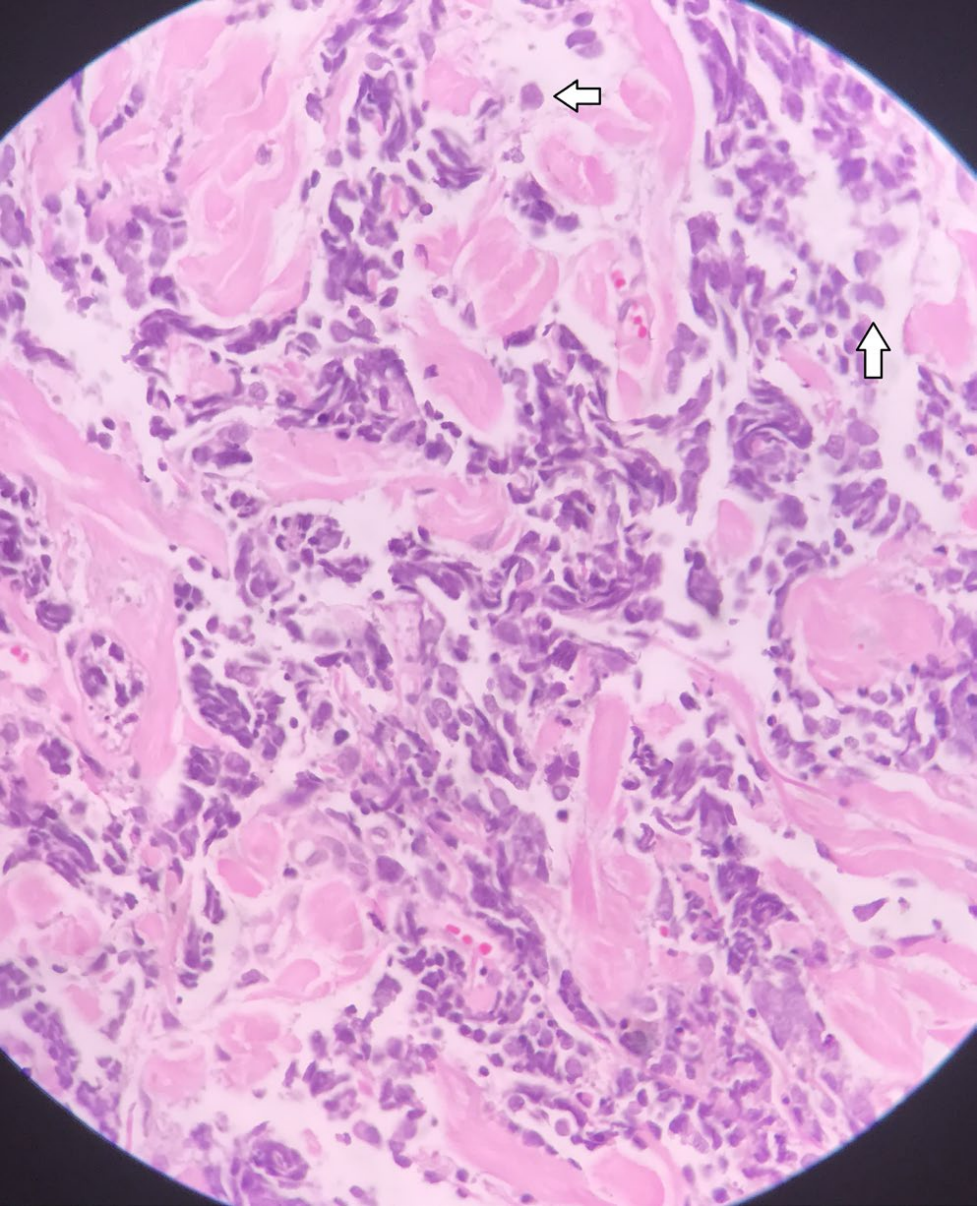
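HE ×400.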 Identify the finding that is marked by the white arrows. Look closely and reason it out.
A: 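High nucleus‐cytoplasmic ratio. The cells beside the arrows consist almost entirely of a dark purple nucleus. Only a thin rim of cytoplasm, or none, is visible around the nuclei.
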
